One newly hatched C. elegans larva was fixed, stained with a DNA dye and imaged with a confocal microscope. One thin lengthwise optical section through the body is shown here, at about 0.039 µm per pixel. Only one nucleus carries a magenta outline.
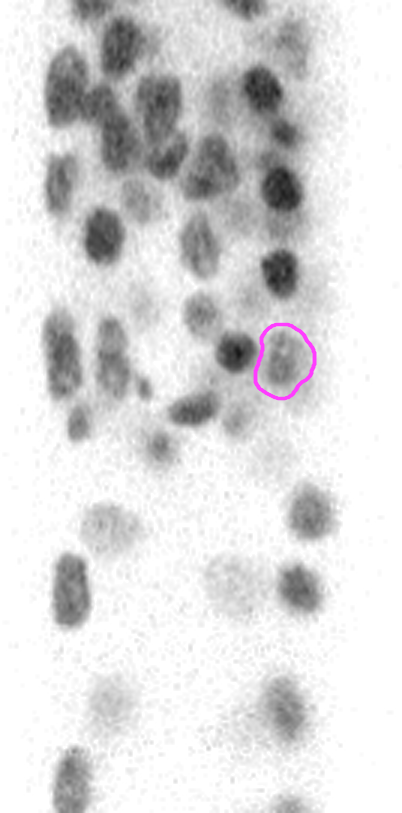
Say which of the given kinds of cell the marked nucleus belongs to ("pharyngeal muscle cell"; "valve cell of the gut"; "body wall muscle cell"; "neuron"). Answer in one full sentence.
It belongs to a body wall muscle cell.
